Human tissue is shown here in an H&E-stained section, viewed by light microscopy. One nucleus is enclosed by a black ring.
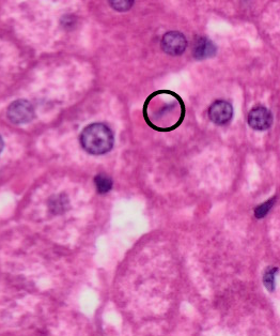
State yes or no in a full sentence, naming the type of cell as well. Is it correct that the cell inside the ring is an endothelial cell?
Yes, the identification of the cell inside the ring as an endothelial cell stands.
